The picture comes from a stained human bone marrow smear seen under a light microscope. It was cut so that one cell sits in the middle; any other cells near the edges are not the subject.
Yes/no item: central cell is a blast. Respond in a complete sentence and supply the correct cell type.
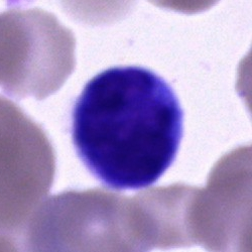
No, the cell of interest here is a lymphocyte and not a blast.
